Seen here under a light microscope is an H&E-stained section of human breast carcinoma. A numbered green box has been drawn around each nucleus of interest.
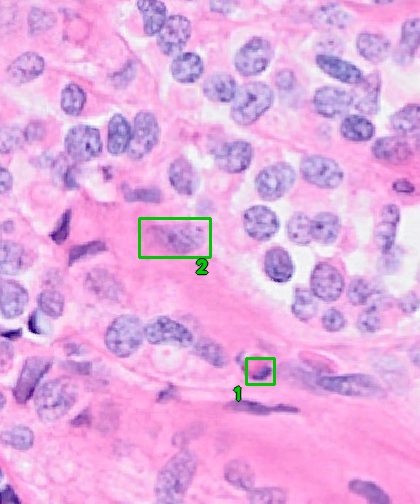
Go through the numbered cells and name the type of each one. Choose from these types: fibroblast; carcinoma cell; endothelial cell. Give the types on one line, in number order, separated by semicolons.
endothelial cell; fibroblast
